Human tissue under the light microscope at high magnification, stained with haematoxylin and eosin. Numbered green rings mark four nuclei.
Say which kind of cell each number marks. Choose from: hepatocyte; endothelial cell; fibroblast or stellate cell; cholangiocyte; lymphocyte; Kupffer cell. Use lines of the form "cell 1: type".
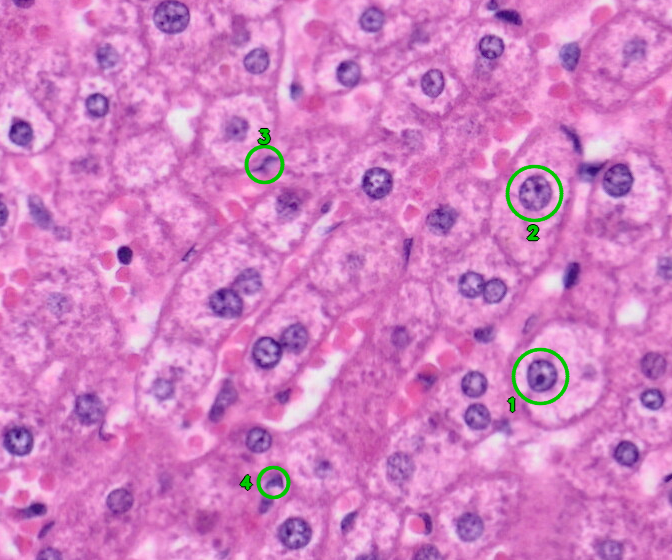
cell 1: hepatocyte
cell 2: hepatocyte
cell 3: endothelial cell
cell 4: endothelial cell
